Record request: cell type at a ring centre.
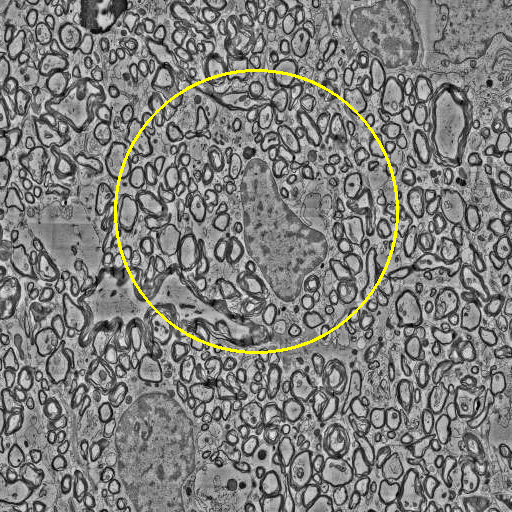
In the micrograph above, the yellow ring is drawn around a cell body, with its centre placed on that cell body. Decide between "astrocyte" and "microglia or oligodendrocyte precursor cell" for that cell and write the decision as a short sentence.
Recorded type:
The cell centred in the yellow ring is a microglial cell or oligodendrocyte precursor cell.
